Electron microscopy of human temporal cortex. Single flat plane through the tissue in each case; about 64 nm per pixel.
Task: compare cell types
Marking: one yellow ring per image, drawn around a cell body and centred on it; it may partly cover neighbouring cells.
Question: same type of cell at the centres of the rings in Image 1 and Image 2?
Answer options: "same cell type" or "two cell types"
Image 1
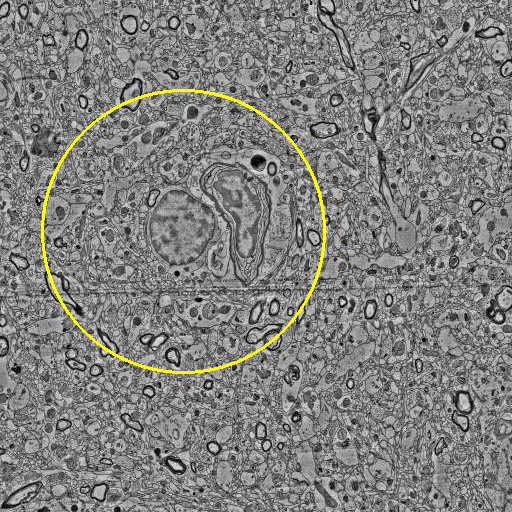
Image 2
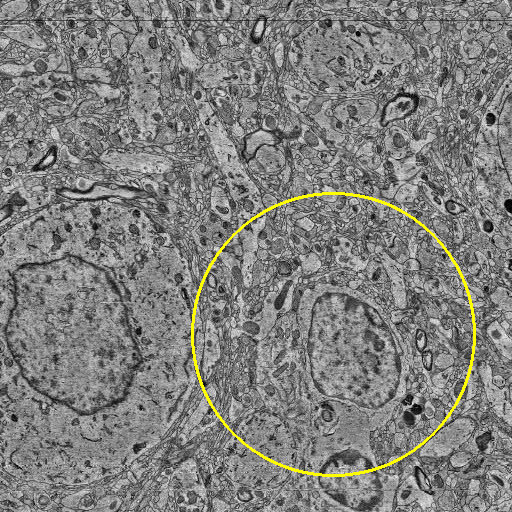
two cell types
